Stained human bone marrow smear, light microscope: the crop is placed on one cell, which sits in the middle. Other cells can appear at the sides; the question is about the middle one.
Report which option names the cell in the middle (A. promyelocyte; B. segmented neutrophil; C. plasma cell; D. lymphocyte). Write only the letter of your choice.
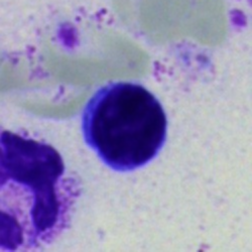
D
